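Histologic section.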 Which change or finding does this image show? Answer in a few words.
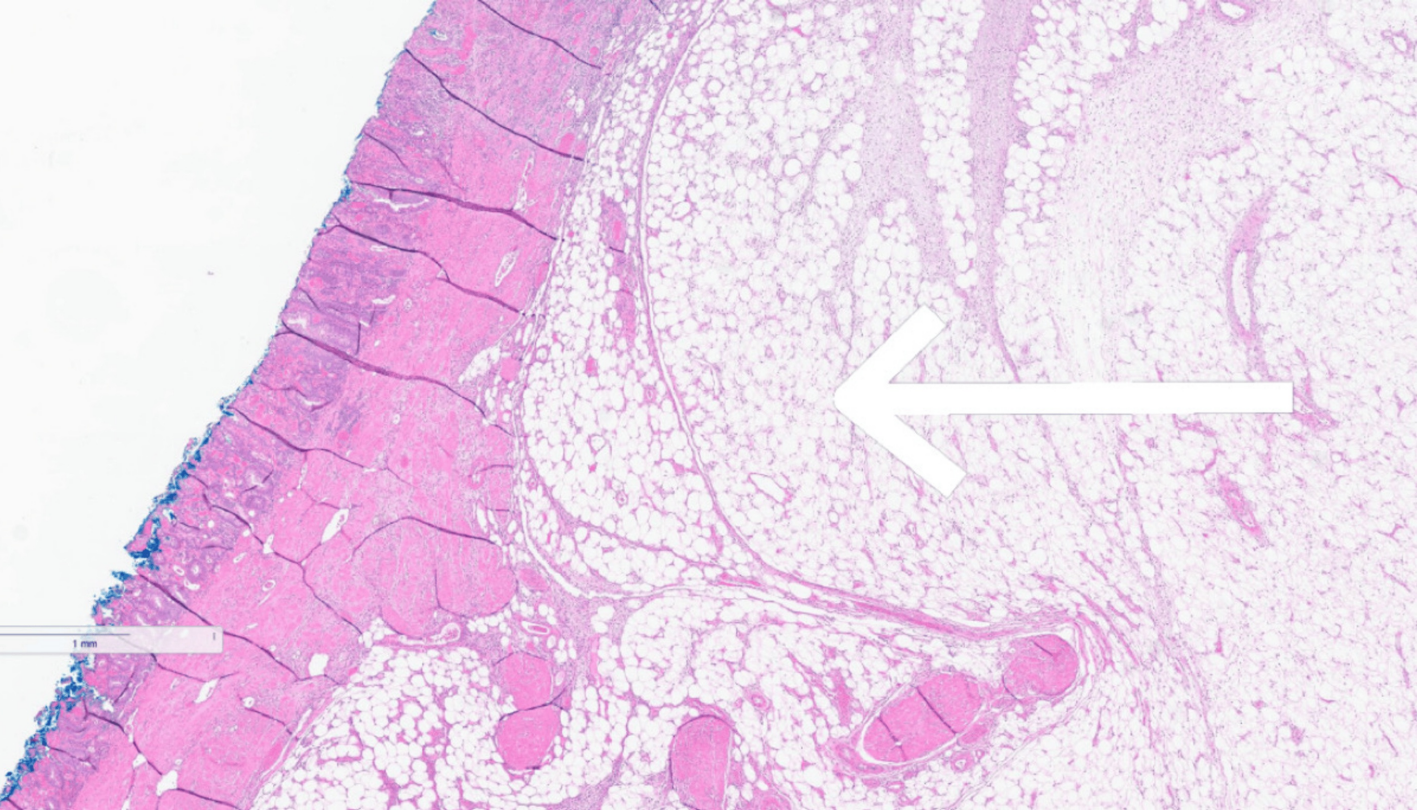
benign colonic lipoma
